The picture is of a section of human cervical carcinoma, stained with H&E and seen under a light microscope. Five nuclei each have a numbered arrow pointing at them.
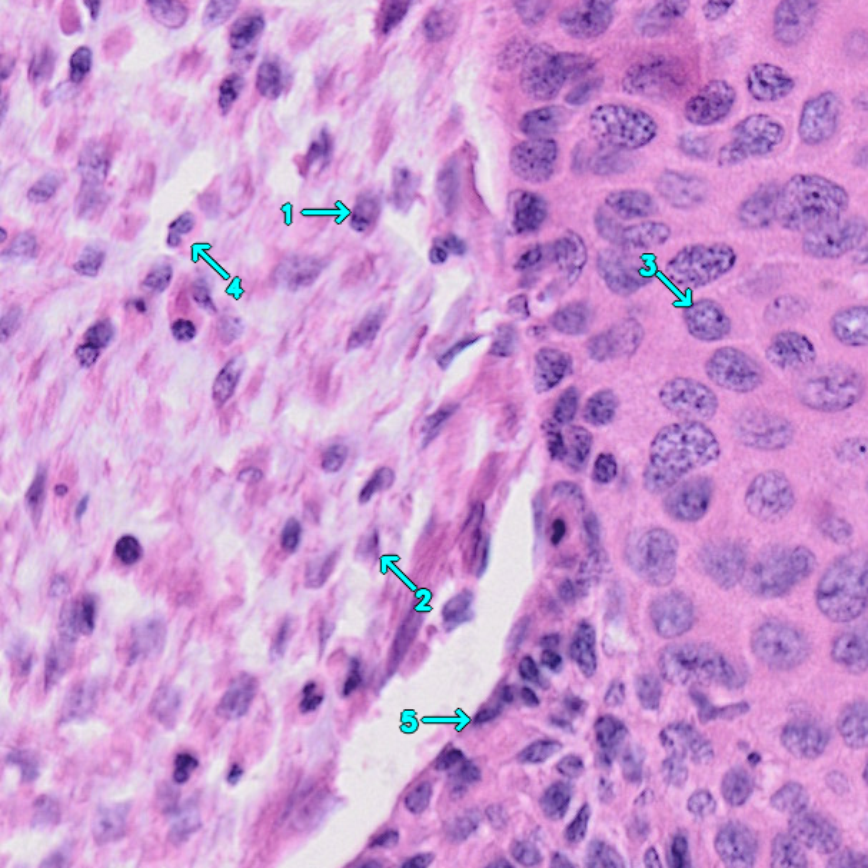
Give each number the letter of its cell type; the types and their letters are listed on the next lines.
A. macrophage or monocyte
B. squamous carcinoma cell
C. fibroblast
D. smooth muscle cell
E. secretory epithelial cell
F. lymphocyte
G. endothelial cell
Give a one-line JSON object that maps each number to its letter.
{"1": "A", "2": "C", "3": "B", "4": "F", "5": "B"}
